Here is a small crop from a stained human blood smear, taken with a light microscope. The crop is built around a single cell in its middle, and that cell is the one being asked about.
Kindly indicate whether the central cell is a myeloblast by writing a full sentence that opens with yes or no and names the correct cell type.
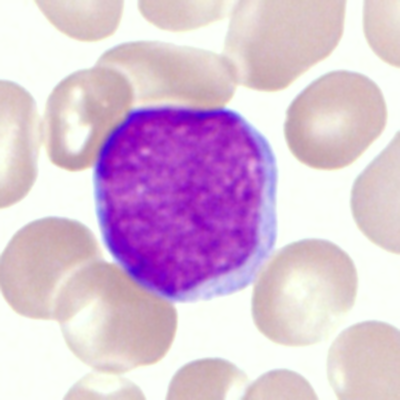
Yes, a myeloblast occupies the middle of the crop.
